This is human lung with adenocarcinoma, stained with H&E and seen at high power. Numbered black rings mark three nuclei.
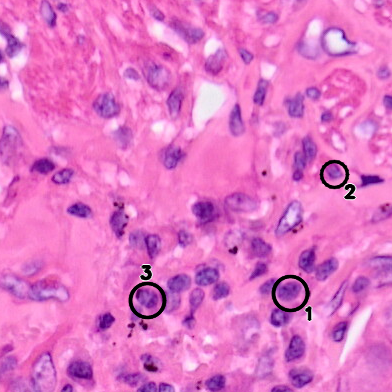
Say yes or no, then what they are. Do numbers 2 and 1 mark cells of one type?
No, sorry to say, cell 2 is a smooth muscle cell or pericyte and cell 1 is a lymphocyte.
